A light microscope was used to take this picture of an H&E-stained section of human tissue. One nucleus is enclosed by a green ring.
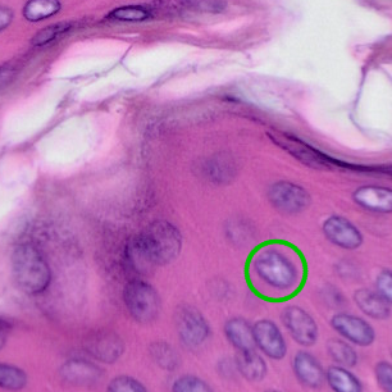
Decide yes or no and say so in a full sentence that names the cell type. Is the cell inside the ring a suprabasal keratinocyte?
Yes, the cell inside the ring has been identified as a suprabasal keratinocyte.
